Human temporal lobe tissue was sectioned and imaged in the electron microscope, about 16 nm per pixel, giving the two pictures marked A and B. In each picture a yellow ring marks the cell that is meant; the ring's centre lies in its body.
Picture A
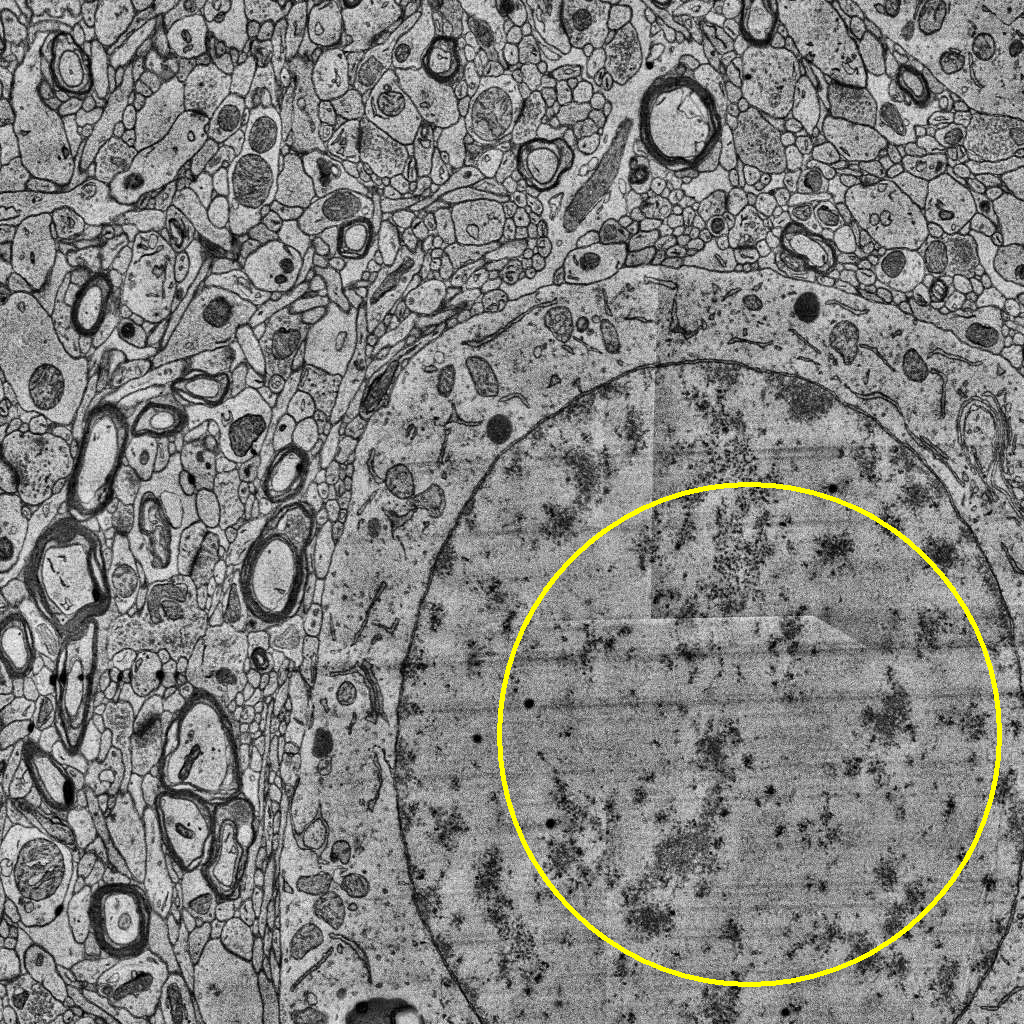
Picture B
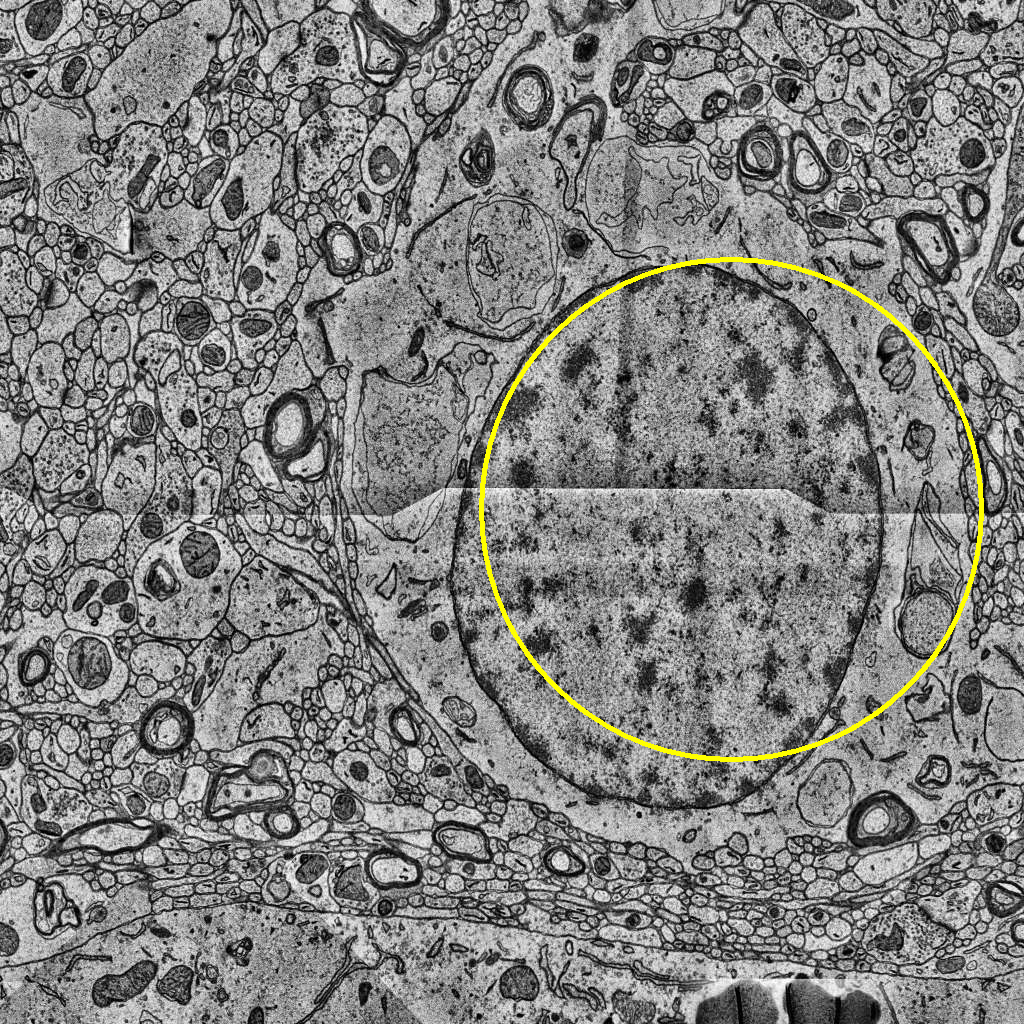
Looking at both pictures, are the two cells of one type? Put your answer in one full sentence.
No; the cell in picture A is a pyramidal neuron, while the one in picture B is an astrocyte.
